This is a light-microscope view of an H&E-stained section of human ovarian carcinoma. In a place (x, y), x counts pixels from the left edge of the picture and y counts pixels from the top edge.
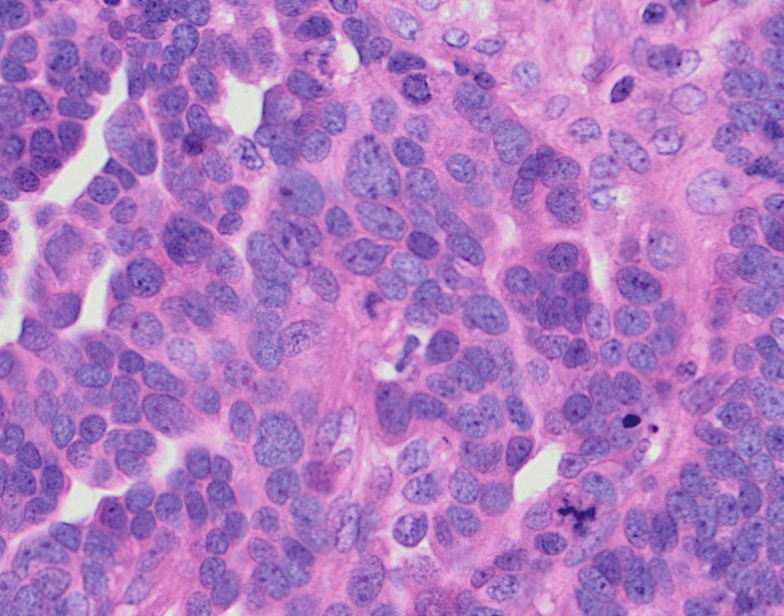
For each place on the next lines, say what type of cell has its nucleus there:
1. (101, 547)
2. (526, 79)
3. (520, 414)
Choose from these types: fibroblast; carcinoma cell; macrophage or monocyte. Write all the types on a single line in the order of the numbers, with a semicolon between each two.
carcinoma cell; fibroblast; carcinoma cell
